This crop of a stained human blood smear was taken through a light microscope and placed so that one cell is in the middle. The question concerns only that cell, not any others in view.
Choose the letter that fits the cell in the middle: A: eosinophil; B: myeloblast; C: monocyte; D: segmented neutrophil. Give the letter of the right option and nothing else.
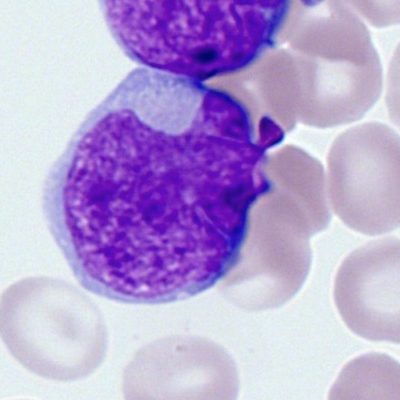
B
